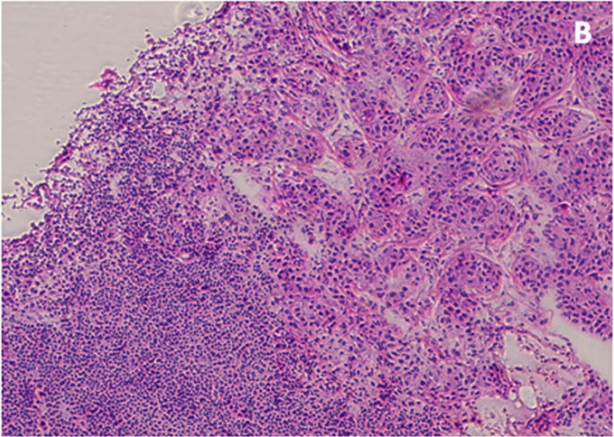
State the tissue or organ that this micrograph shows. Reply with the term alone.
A: Lymph node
